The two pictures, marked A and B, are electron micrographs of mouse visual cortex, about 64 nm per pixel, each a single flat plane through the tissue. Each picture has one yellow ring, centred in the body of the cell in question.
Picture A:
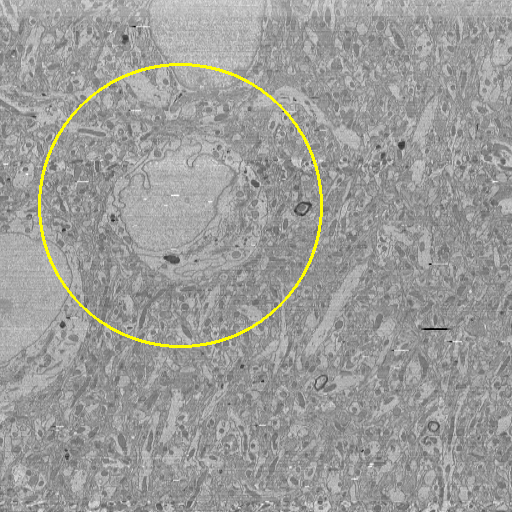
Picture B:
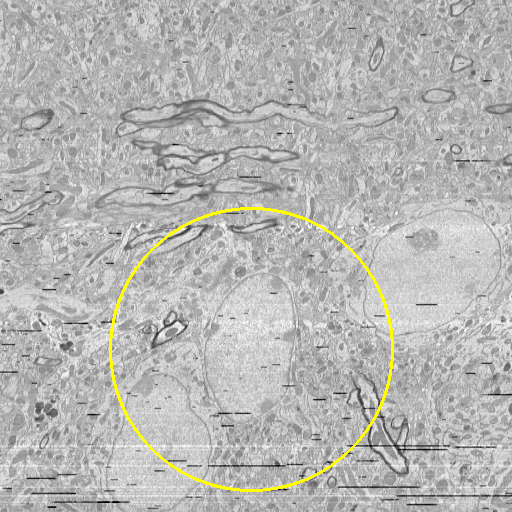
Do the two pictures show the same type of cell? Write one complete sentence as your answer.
No, they differ: the cell is an inhibitory neuron in picture A and an astrocyte in picture B.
